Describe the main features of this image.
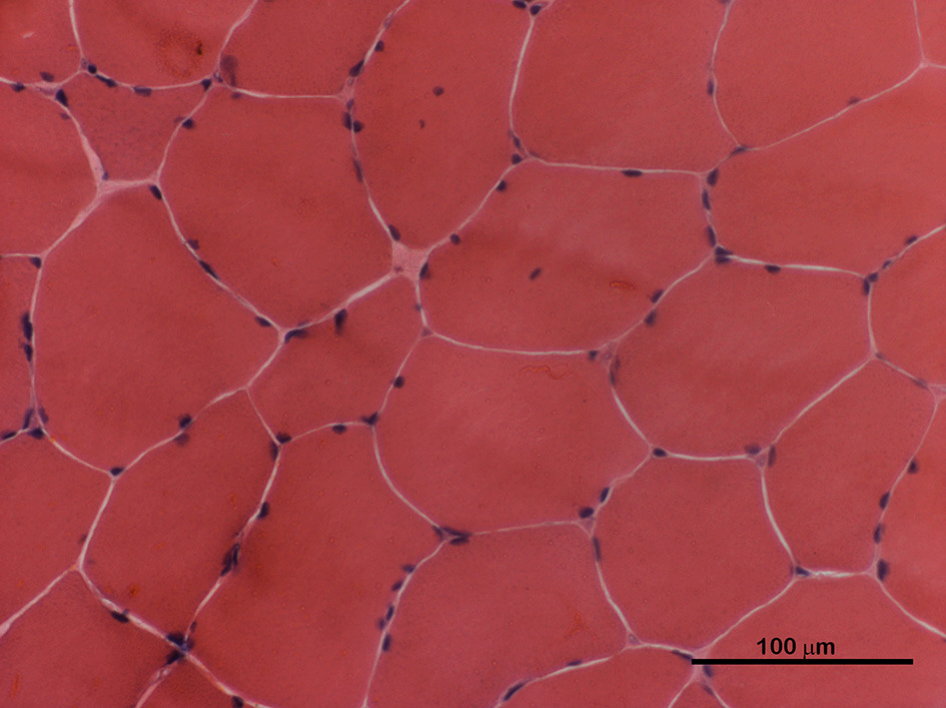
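Skeletal muscle in cross-section, showing large polygonal fibres with evenly pink cytoplasm, closely packed and separated by thin pale strands of connective tissue. Flattened, dark purple nuclei sit at the edges of the fibres, just under their borders. An occasional nucleus lies inside a fibre rather than at its edge.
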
